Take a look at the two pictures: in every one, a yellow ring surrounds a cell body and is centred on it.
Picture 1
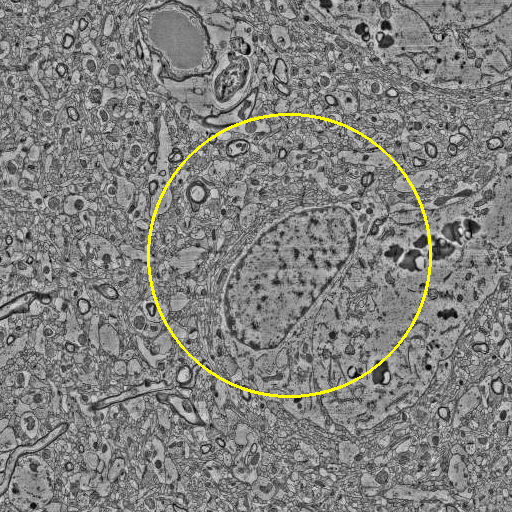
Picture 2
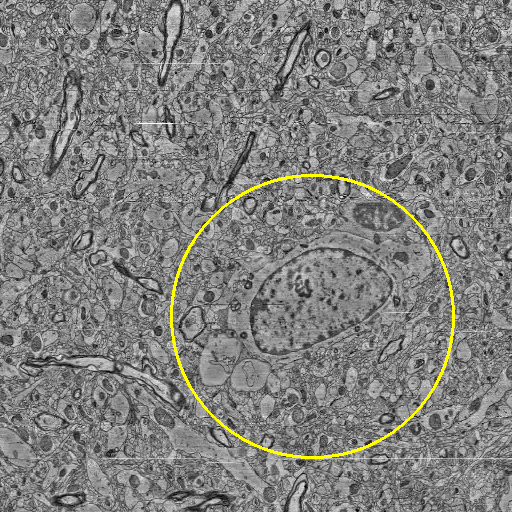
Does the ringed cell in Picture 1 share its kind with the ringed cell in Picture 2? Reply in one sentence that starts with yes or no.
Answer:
Yes, the two centred cells, one per picture, are of one kind.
